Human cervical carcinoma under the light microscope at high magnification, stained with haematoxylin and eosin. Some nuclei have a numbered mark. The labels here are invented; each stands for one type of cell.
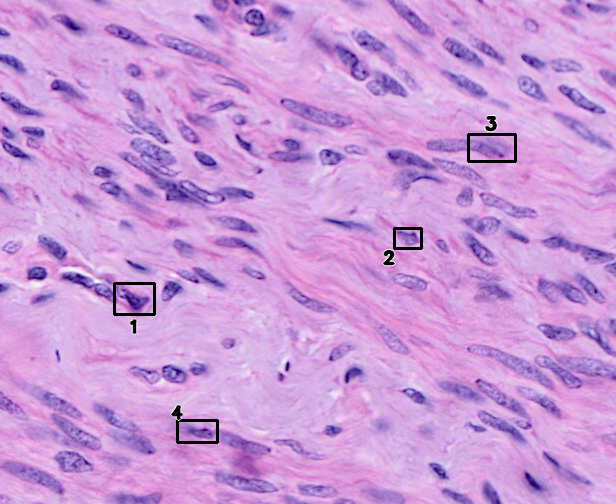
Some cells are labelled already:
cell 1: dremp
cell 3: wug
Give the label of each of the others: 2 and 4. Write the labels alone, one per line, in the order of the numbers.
wug
wug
